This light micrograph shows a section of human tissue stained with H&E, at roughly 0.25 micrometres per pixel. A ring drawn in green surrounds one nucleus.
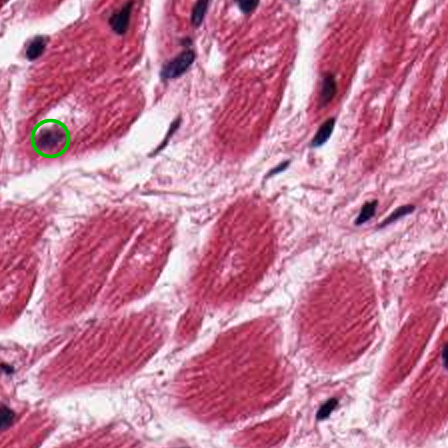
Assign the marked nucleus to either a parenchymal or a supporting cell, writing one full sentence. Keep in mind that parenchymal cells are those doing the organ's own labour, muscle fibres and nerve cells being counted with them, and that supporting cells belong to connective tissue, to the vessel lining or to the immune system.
The marked nucleus is the nucleus of a parenchymal cell, that is, a cardiomyocyte.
